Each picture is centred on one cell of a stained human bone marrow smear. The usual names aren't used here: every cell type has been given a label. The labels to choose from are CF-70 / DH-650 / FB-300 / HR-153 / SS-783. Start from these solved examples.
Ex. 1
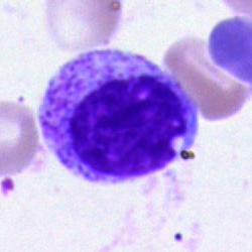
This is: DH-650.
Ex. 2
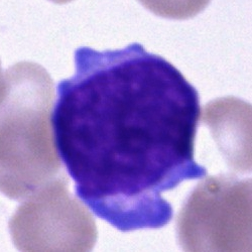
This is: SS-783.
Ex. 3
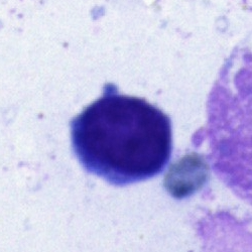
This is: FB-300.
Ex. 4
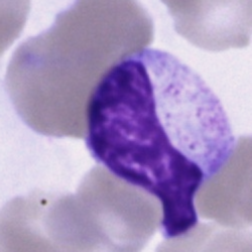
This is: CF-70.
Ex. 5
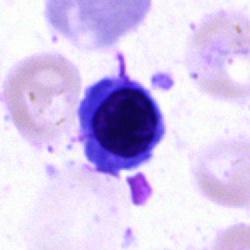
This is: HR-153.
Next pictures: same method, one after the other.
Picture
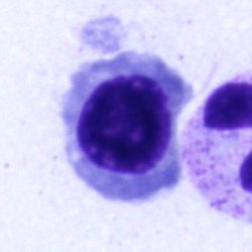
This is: HR-153.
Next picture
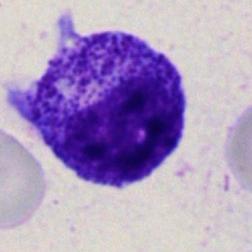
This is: DH-650.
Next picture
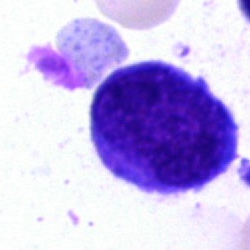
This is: SS-783.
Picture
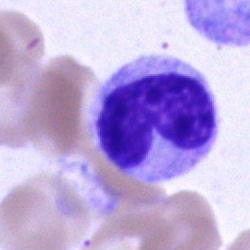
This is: CF-70.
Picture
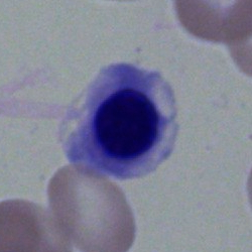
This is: HR-153.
